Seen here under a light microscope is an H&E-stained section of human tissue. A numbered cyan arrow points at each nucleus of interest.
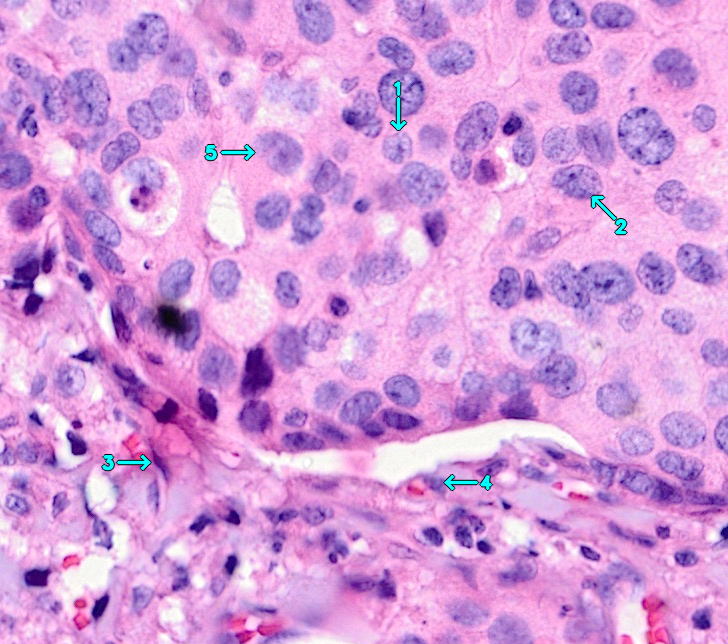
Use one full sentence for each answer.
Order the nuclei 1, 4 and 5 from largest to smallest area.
Going from the biggest nucleus down to the smallest gives 5, 1, 4.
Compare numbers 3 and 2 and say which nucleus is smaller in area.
It is nucleus 3; nucleus 2 has about 4 times its area.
